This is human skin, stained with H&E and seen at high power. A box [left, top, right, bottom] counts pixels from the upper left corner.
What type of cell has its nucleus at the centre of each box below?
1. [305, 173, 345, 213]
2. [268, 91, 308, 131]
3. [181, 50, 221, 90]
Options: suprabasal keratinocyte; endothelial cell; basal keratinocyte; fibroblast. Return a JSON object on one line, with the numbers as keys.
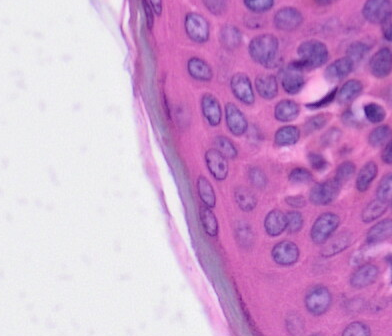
{"1": "basal keratinocyte", "2": "basal keratinocyte", "3": "suprabasal keratinocyte"}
